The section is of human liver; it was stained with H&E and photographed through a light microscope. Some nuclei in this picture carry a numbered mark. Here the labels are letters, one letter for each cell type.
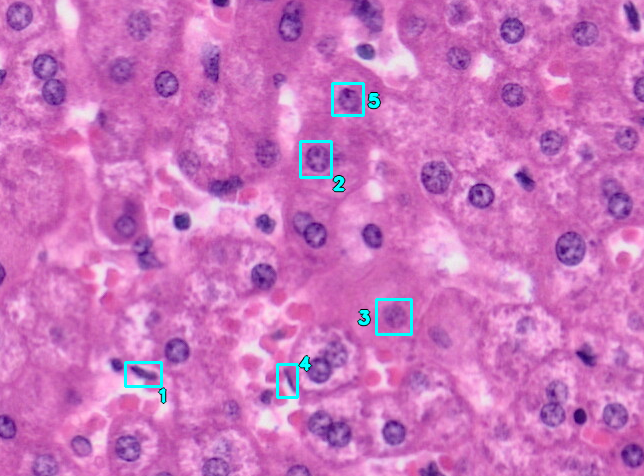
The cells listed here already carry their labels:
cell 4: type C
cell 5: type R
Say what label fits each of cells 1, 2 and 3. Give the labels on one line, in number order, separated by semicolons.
type C; type R; type R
